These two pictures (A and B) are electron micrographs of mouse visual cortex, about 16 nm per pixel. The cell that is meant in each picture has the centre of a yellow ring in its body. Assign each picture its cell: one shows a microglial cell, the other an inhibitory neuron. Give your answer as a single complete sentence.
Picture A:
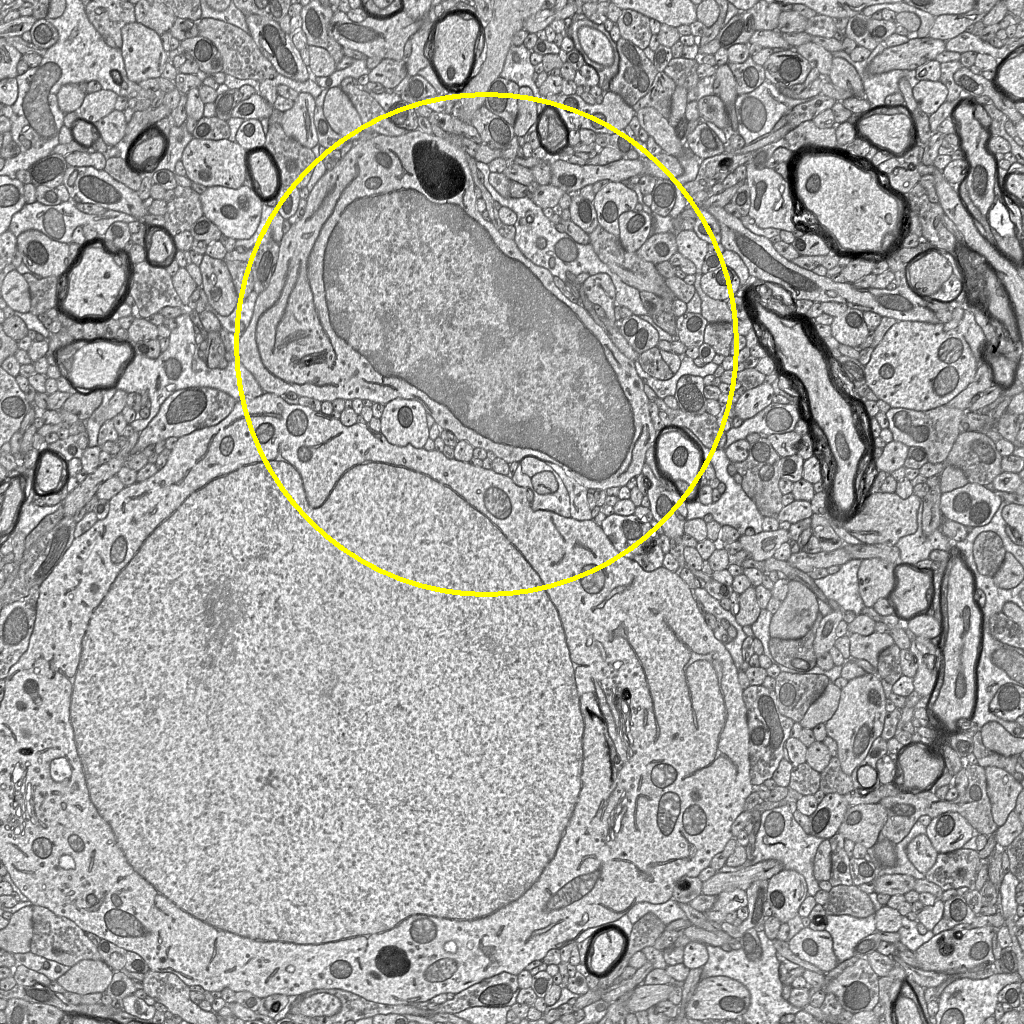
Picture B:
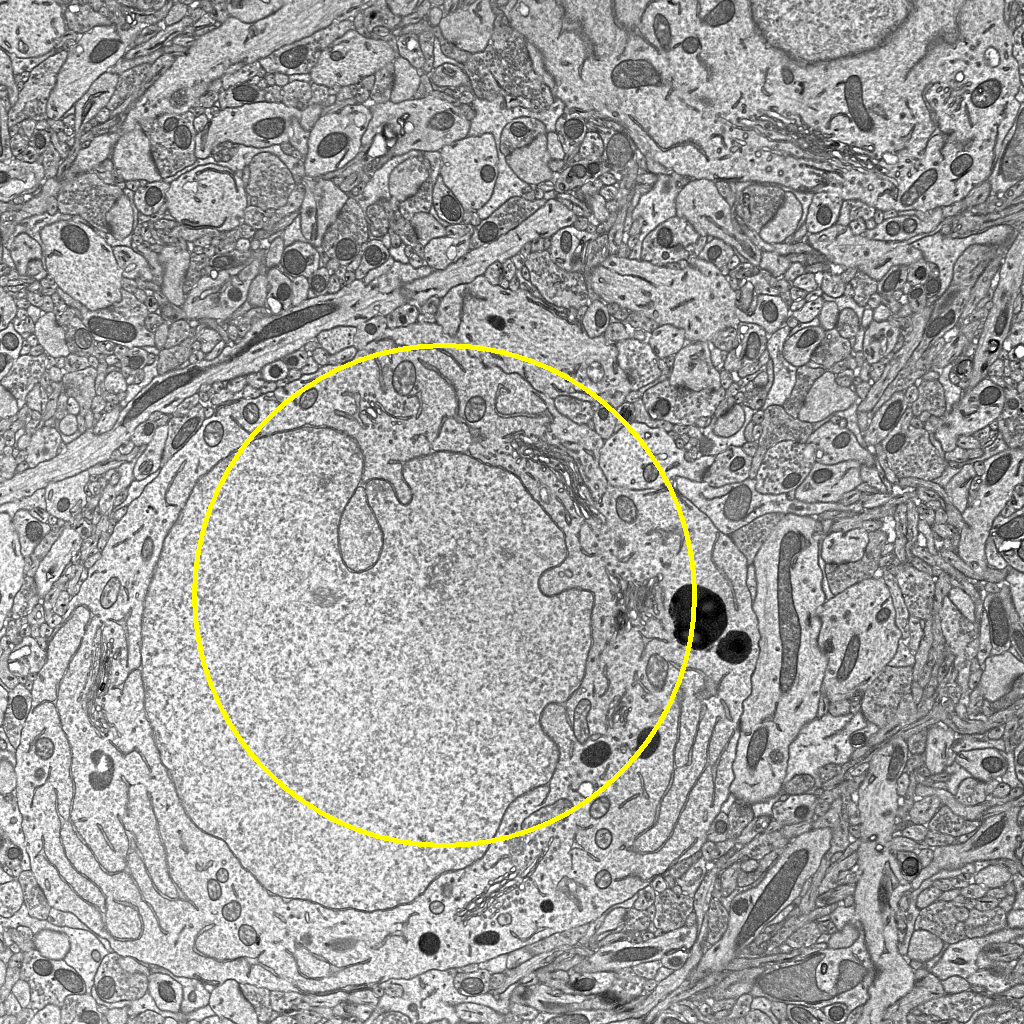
Picture B shows an inhibitory neuron, while picture A shows a microglial cell.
